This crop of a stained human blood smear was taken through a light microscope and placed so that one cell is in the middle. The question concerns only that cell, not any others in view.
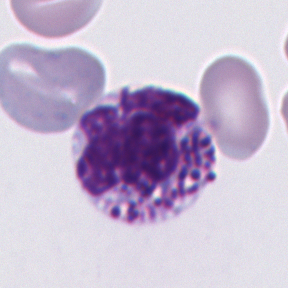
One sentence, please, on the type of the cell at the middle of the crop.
The cell at the middle of the frame should be recorded as a basophil.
